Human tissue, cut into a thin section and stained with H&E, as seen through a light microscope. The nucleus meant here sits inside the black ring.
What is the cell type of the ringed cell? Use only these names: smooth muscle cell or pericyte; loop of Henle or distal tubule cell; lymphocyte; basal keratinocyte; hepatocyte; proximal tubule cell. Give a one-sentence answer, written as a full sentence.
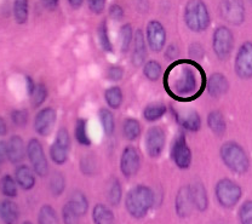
To be brief about it, the ringed cell is a basal keratinocyte.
